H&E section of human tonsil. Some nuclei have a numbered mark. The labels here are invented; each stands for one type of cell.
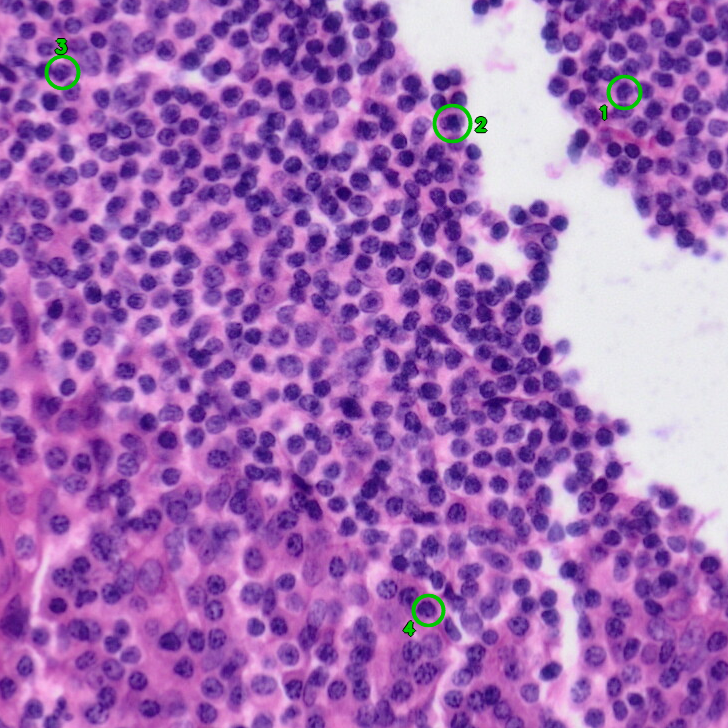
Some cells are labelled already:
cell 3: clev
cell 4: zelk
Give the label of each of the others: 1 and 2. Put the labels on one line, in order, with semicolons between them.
clev; clev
